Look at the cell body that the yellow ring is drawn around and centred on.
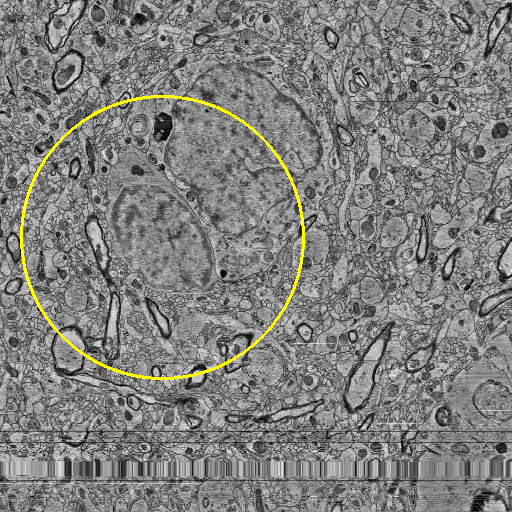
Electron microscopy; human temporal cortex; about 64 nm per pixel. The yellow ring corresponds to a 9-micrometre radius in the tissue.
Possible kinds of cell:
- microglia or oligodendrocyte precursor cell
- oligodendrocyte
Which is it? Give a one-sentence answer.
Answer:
The centred cell body is that of an oligodendrocyte.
